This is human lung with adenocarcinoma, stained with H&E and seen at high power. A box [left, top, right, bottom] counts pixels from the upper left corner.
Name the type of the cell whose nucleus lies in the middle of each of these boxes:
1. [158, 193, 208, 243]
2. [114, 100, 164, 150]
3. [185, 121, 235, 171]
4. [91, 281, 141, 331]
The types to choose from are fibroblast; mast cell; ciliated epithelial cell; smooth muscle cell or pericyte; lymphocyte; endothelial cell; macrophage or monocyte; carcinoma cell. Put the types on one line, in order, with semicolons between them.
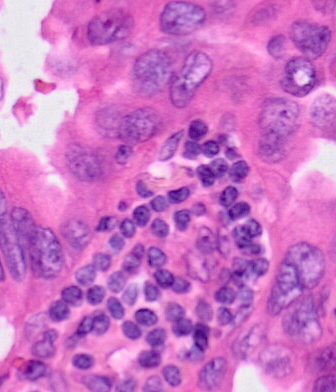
lymphocyte; carcinoma cell; lymphocyte; lymphocyte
